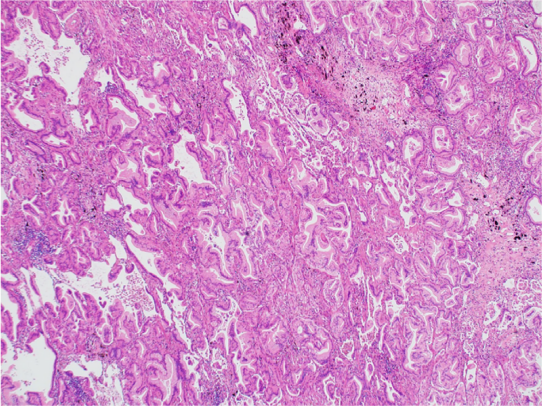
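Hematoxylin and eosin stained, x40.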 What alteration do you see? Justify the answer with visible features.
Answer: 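Densely packed tumor glands with interstitial fibrous thickening. Closely crowded irregular glands with slit-like lumina fill the field. Pink fibrous tissue lies between the glands. Little normal alveolar lung remains.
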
